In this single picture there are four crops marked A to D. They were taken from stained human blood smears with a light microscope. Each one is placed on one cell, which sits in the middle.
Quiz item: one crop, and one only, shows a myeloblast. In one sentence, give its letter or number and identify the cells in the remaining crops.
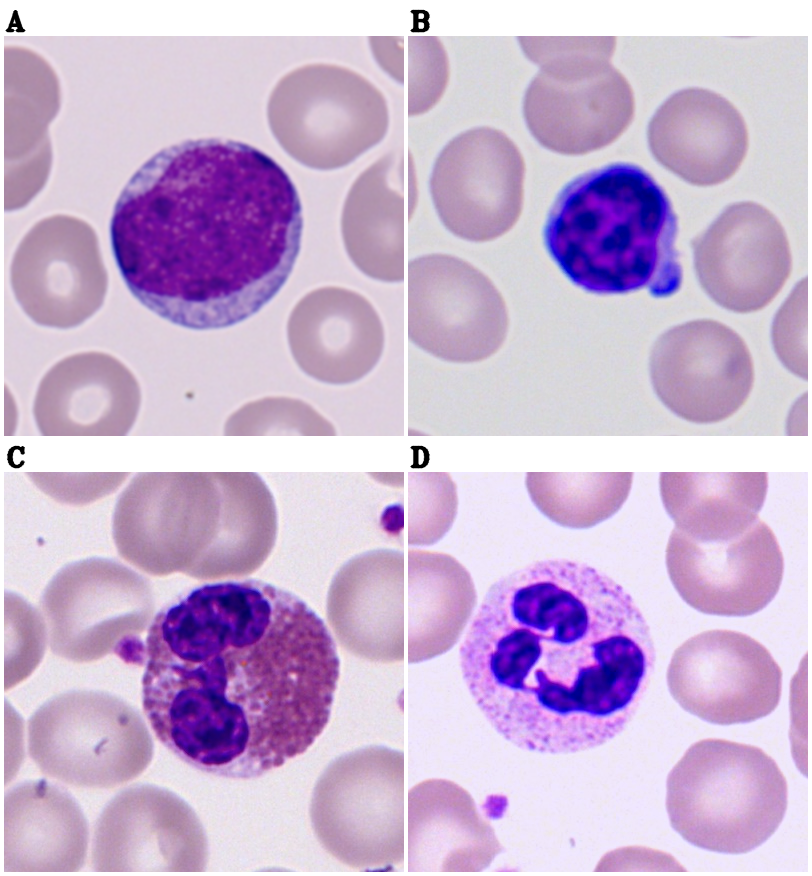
Going crop by crop, crop A is a myeloblast, while crop B is a lymphocyte, crop C is an eosinophil and crop D is a segmented neutrophil.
